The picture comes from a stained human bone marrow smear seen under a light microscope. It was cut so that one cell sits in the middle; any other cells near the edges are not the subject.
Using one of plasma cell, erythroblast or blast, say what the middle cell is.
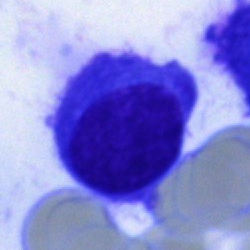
plasma cell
